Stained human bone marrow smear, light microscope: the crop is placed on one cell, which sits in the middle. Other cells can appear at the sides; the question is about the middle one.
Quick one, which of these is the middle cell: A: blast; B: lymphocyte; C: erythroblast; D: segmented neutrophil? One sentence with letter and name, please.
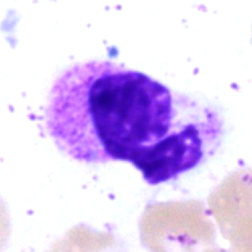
The cell placed in the middle is a segmented neutrophil; option D is correct.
